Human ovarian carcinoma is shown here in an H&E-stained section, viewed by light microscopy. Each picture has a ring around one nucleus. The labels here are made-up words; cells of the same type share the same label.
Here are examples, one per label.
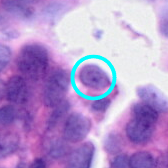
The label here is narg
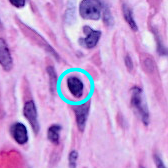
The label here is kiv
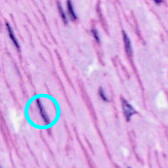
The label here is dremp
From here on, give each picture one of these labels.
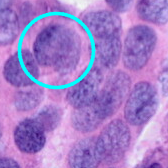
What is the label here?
narg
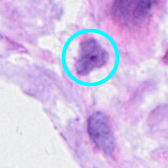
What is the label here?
dremp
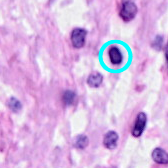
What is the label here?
kiv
